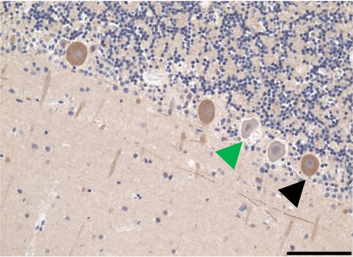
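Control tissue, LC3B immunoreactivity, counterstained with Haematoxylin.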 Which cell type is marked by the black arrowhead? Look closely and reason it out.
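Purkinje cells. The marked cell is a large rounded neuron body much bigger than the surrounding small nuclei. It lies in a single row of similar large cells at the border between a dense layer of small dark nuclei and a pale, sparsely nucleated layer.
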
